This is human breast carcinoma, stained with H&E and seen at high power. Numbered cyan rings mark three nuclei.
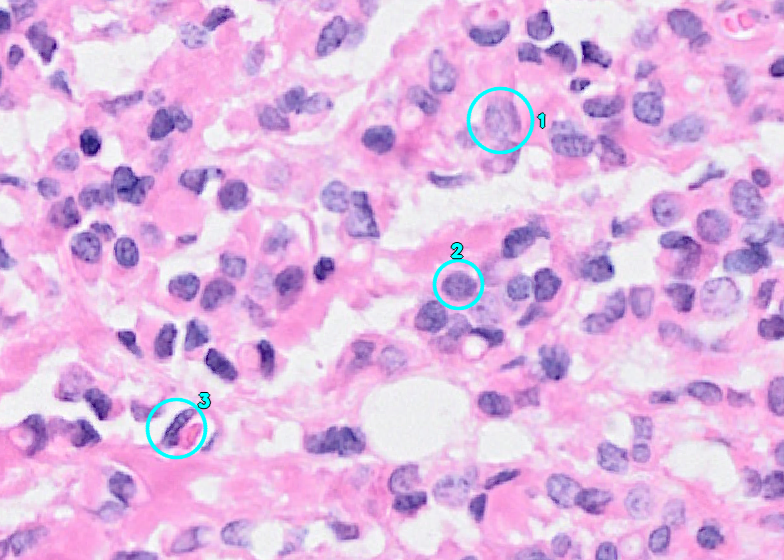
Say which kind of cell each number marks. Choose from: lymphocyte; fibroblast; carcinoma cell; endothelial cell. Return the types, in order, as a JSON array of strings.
["carcinoma cell", "carcinoma cell", "endothelial cell"]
